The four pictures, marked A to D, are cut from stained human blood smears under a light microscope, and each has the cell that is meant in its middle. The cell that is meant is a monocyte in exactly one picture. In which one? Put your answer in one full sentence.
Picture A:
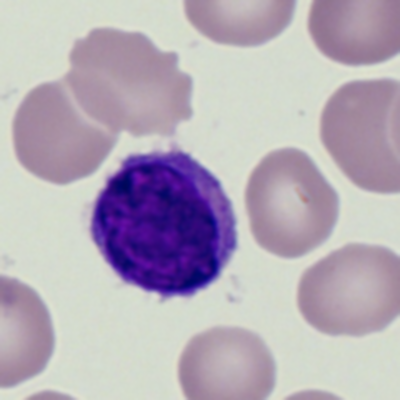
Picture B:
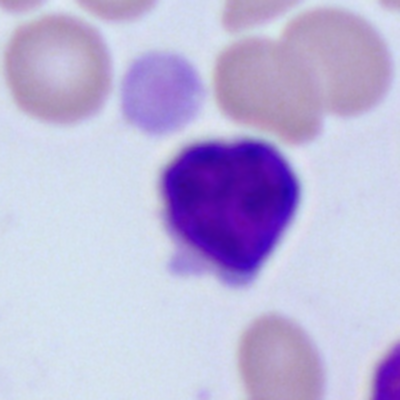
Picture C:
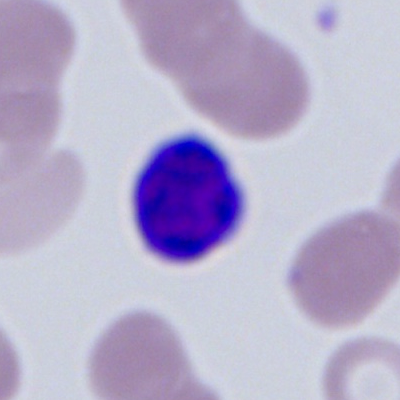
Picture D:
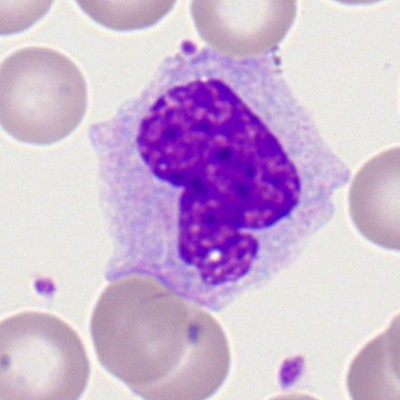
Picture D shows the monocyte.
